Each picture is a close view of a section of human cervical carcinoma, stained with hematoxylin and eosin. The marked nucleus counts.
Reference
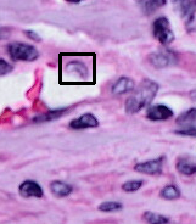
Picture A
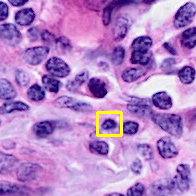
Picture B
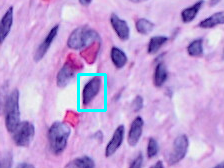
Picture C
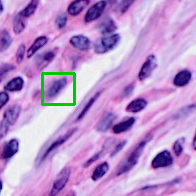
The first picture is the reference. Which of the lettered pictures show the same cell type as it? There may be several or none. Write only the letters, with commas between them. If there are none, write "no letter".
B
